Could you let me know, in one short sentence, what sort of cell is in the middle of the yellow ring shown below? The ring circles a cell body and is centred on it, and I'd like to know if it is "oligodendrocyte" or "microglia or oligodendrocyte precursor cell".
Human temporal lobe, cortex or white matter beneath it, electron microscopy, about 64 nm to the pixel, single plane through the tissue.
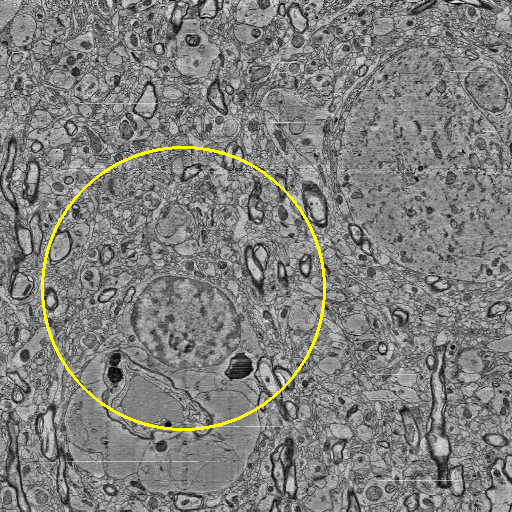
The ring circles the cell body of an oligodendrocyte.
